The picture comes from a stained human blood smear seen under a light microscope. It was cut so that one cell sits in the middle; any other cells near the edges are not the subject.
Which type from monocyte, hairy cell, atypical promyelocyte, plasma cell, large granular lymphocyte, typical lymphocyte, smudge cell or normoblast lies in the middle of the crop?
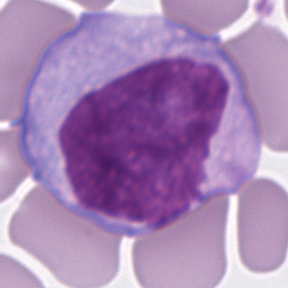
monocyte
